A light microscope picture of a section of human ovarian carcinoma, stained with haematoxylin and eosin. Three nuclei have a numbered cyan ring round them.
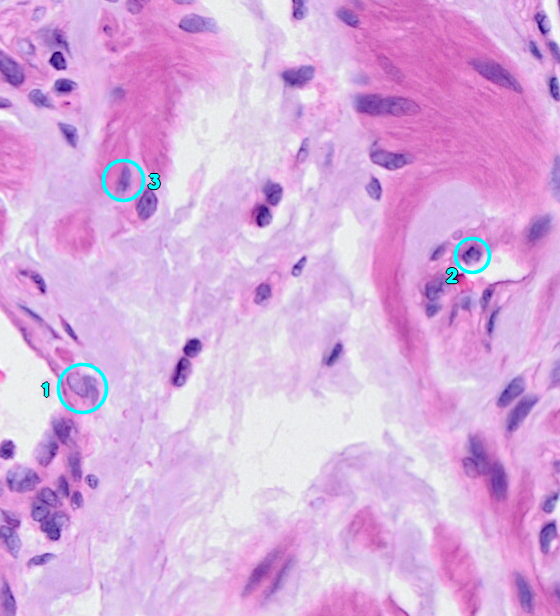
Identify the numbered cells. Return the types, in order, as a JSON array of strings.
["fibroblast", "endothelial cell", "smooth muscle cell"]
